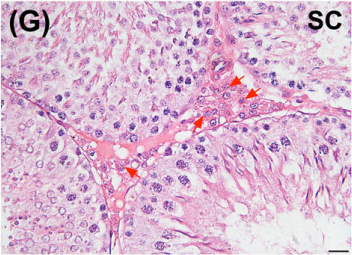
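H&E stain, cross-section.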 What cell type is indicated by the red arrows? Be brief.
Leydig cells.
